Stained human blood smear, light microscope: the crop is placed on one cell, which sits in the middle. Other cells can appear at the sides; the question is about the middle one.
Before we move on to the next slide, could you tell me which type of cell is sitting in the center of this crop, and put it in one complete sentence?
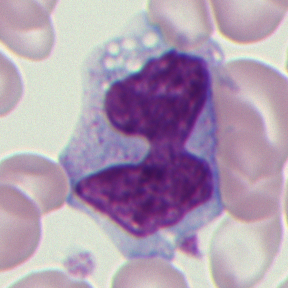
The cell centered in this field of view is a monocyte.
